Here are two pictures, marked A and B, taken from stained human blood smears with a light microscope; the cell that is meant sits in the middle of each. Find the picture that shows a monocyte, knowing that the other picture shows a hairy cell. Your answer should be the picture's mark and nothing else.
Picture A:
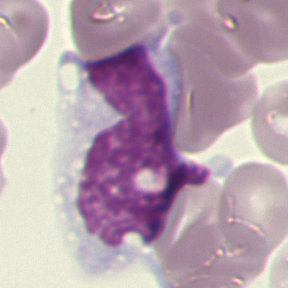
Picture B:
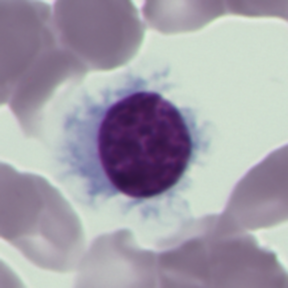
A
